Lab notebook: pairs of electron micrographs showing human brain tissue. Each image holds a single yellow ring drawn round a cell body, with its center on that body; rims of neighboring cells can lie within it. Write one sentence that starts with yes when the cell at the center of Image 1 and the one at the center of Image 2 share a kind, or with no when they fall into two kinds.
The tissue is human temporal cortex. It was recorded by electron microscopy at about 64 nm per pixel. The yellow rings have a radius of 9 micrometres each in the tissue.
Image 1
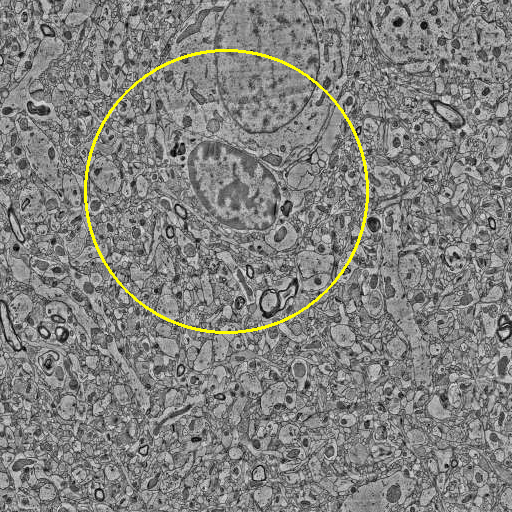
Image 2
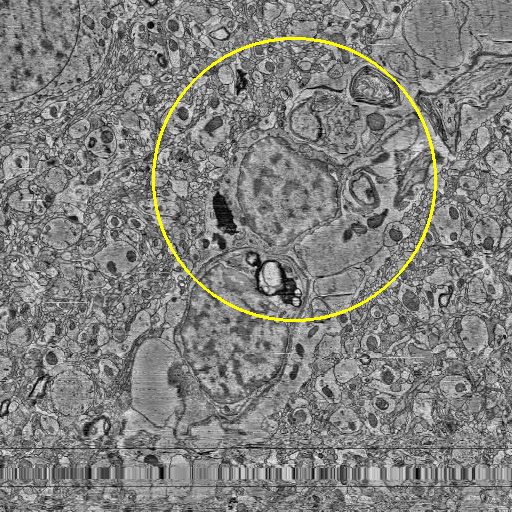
No, the centered cell in Image 1 and the centered cell in Image 2 are of two kinds.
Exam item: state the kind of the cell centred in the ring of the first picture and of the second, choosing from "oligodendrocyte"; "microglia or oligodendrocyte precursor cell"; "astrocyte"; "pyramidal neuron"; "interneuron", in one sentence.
The first picture shows a microglial cell or oligodendrocyte precursor cell at the ring centre and the second shows an oligodendrocyte.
